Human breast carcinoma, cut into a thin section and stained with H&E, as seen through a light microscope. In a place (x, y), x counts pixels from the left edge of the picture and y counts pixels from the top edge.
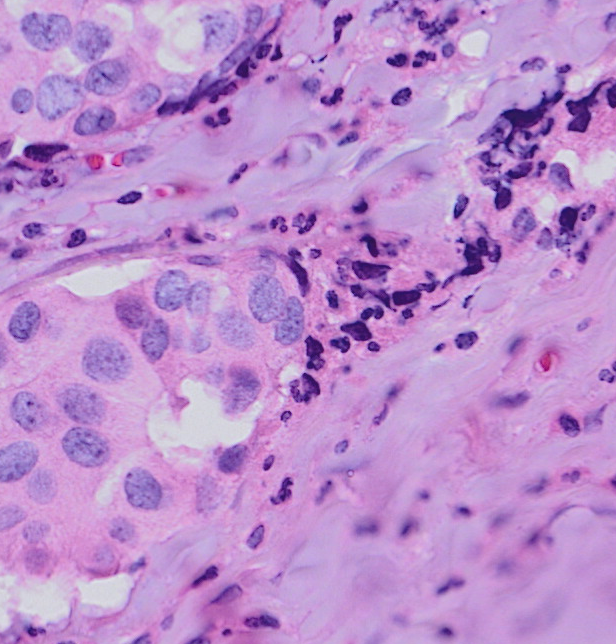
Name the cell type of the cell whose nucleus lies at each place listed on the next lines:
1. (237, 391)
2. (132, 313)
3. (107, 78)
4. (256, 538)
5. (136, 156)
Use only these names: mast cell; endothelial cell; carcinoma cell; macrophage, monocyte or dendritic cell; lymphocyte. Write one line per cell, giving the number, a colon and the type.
1: carcinoma cell
2: carcinoma cell
3: carcinoma cell
4: mast cell
5: endothelial cell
